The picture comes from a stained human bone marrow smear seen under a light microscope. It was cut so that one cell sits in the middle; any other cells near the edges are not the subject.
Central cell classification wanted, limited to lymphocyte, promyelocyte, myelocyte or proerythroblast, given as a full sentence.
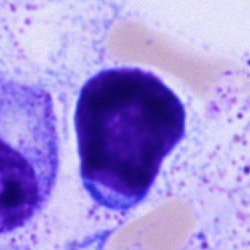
Located at the centre of the crop is a lymphocyte.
